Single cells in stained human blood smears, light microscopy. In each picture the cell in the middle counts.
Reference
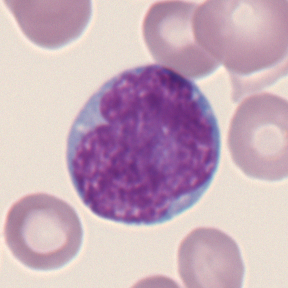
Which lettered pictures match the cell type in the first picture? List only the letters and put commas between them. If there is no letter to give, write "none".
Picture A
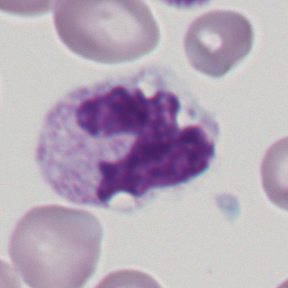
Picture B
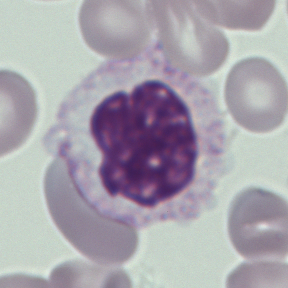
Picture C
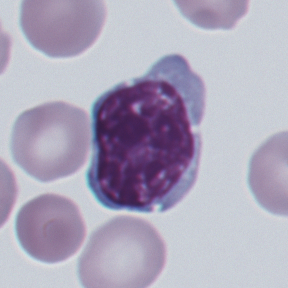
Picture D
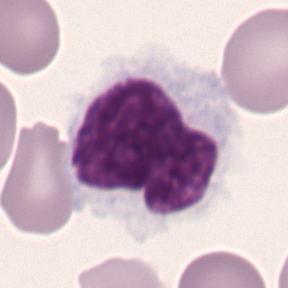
none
